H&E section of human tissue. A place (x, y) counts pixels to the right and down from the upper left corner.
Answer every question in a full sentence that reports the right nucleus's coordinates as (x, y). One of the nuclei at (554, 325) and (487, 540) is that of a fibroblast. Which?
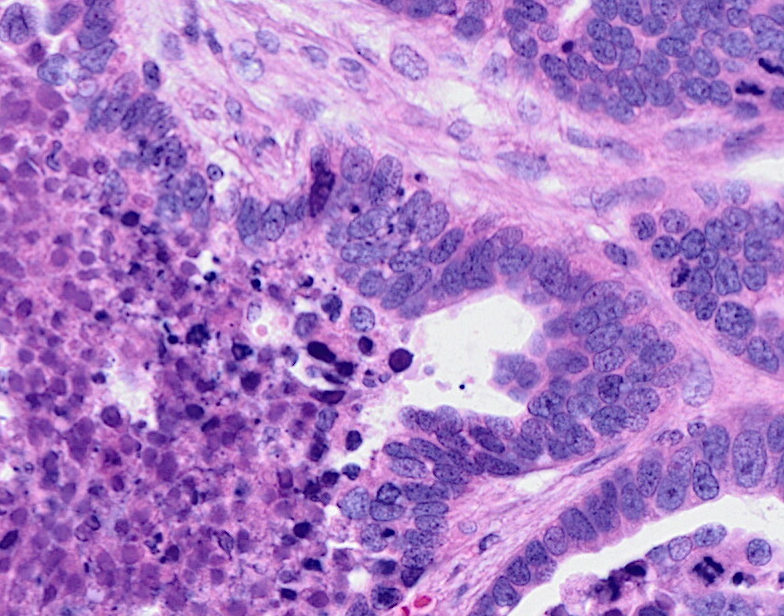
Between the two nuclei, the one sitting at (487, 540) belongs to a fibroblast.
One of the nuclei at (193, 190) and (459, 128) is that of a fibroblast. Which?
The nucleus contained in a fibroblast is the one at (459, 128).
